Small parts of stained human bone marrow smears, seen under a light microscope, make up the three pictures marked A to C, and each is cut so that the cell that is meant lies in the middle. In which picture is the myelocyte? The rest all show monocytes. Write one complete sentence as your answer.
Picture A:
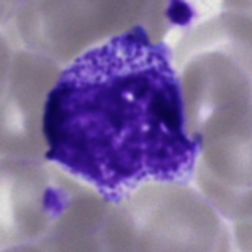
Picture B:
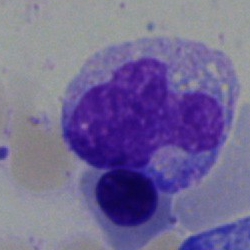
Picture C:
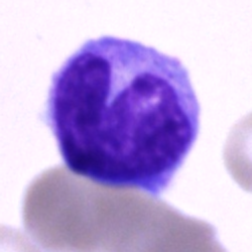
The myelocyte is the one in picture A.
